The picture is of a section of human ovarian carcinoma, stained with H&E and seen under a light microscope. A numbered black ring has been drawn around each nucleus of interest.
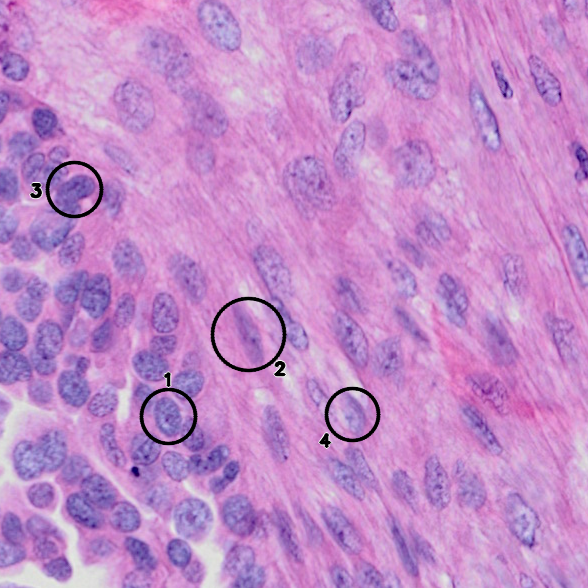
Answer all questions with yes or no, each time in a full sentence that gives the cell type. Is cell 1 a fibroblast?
No, the cell numbered 1 is a carcinoma cell rather than a fibroblast.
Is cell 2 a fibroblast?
Yes, the cell distinguished by number 2 is a fibroblast.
